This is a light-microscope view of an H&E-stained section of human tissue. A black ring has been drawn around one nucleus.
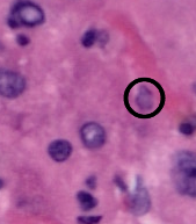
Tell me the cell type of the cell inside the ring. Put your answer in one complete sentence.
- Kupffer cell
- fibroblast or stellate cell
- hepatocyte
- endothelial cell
The cell type of the cell inside the ring is that of a Kupffer cell.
